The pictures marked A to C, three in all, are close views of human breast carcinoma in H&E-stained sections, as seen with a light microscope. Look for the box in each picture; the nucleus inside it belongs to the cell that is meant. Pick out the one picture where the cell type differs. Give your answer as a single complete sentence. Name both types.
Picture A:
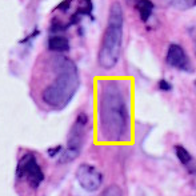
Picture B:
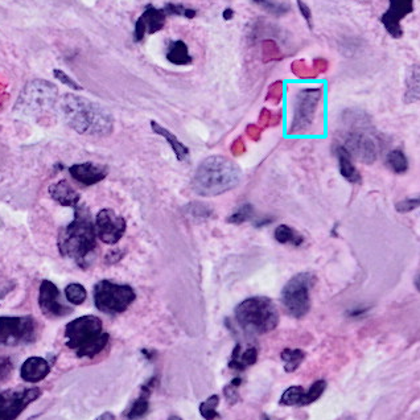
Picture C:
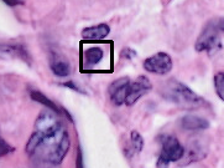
The different one is picture C; it shows a lymphocyte, whereas all the others show endothelial cells.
